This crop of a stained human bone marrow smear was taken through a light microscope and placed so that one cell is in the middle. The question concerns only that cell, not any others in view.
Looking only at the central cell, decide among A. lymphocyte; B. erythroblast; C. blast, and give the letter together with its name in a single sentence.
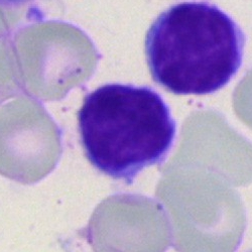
The cell in the middle is correctly identified as a lymphocyte in option A.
